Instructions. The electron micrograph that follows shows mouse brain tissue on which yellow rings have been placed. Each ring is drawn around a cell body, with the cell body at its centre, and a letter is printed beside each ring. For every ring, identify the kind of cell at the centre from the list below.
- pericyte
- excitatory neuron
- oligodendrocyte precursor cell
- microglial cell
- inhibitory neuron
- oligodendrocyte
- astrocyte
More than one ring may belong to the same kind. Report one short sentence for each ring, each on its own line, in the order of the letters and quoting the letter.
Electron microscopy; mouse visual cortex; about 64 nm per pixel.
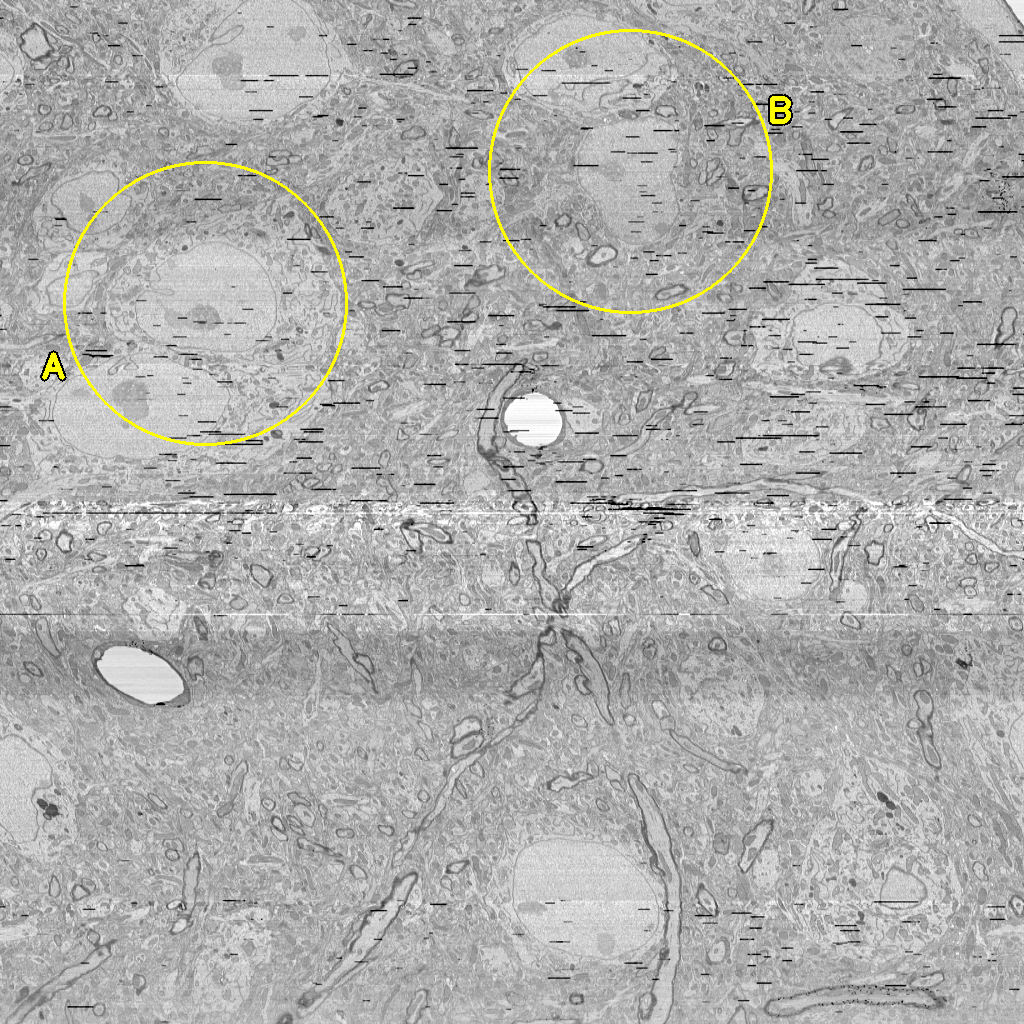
The centre of ring A is occupied by an inhibitory neuron.
The centre of ring B is occupied by an astrocyte.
